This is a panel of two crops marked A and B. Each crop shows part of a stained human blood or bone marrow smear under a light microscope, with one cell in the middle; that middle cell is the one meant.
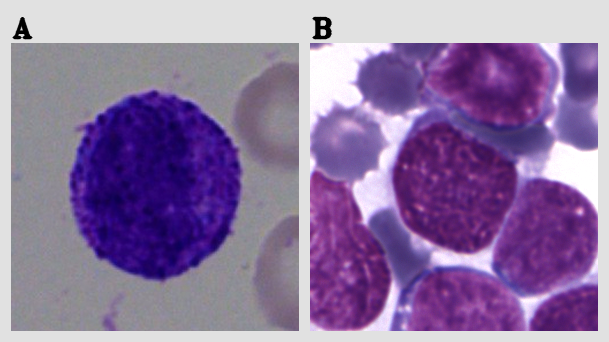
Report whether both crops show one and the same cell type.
no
